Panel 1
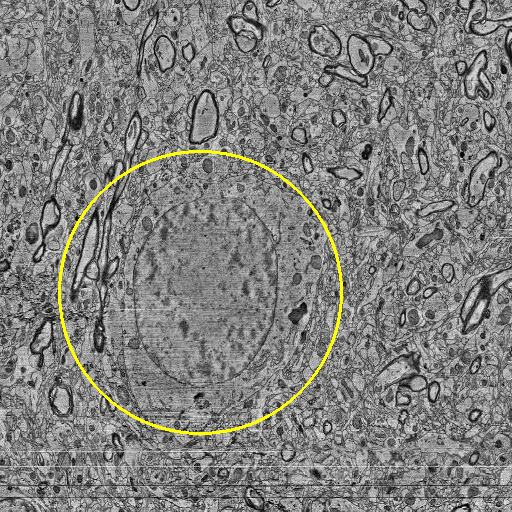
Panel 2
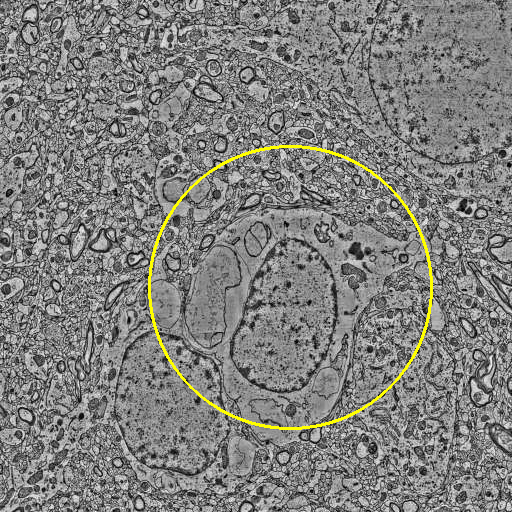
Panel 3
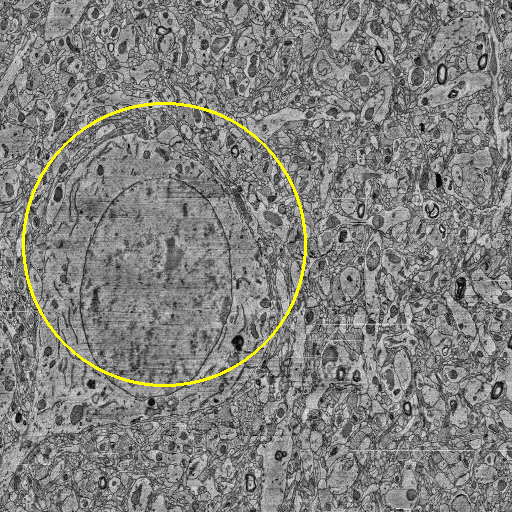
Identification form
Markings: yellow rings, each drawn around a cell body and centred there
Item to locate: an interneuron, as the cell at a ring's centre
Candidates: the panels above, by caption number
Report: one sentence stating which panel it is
It is Panel 1.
